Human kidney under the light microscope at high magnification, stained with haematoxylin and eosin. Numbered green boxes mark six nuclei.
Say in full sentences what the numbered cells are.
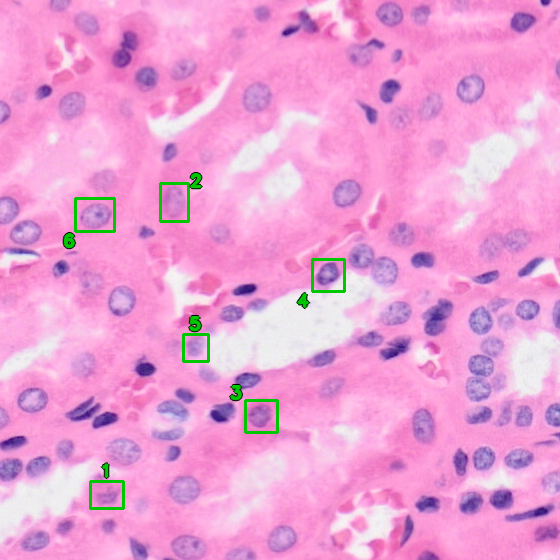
Cells 1, 4 and 5 are loop of Henle or distal tubule cells. Cells 2, 3 and 6 are proximal tubule cells.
